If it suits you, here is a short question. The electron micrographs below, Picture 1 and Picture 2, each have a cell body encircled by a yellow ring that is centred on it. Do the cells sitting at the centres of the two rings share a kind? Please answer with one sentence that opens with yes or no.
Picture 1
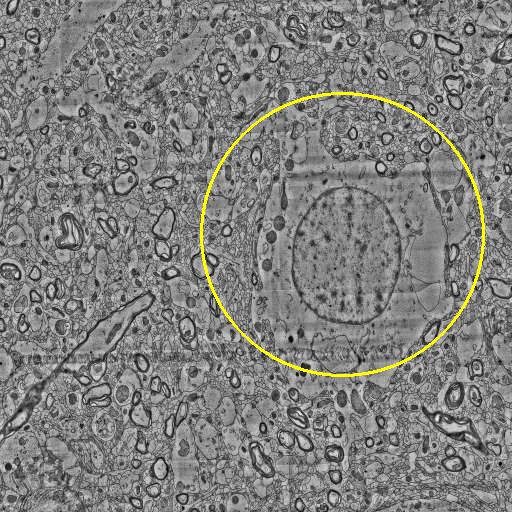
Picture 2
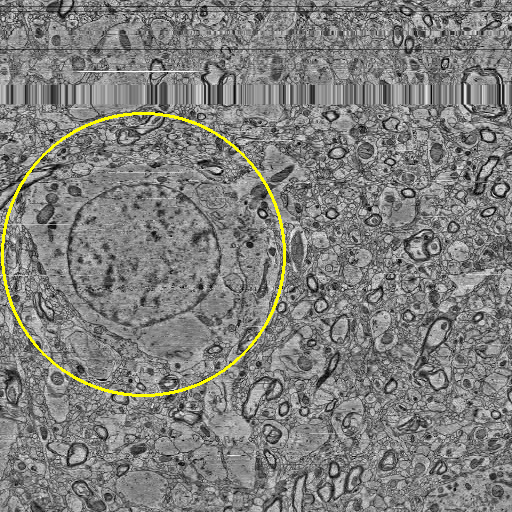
Yes, the two cells sitting at the ring centres share a single kind.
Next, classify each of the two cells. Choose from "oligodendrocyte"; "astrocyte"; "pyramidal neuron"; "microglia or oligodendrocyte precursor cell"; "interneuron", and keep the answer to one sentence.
Each of the ringed cells, first and second, is an astrocyte.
